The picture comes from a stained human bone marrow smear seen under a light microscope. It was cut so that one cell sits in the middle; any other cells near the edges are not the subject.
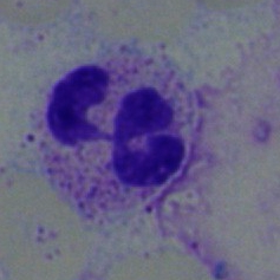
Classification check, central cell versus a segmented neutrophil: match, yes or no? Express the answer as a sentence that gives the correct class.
Yes, the cell in the centre is a segmented neutrophil.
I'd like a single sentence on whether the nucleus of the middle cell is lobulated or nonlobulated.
Two or more lobes make up the nucleus of this cell.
